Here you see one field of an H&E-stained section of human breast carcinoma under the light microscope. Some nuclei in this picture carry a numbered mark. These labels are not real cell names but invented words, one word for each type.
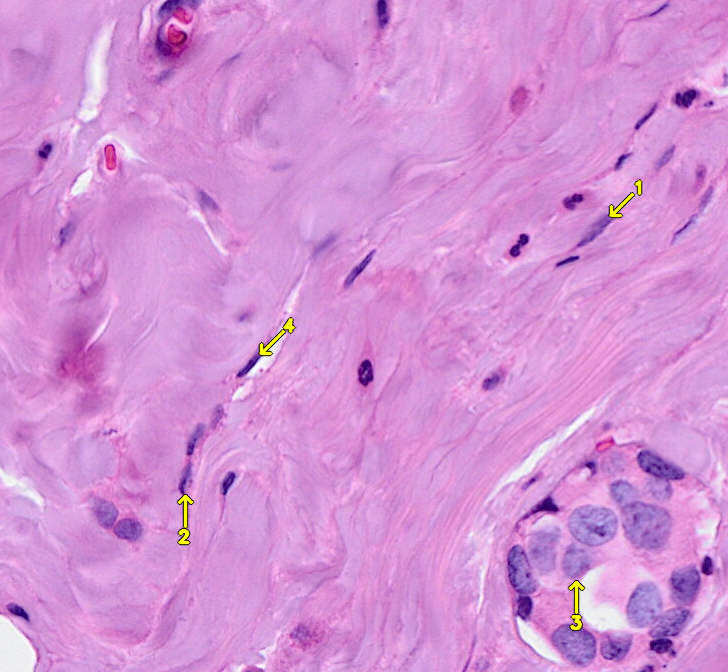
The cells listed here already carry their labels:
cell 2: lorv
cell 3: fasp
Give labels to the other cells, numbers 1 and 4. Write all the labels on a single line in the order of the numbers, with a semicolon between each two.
lorv; lorv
